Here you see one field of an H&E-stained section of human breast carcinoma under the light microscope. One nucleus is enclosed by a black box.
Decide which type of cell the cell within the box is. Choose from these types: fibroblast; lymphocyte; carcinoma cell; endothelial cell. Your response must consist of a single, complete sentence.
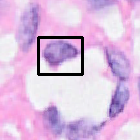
In cellular terms, the cell within the box is a carcinoma cell.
